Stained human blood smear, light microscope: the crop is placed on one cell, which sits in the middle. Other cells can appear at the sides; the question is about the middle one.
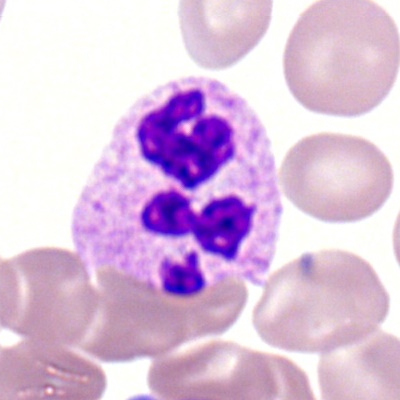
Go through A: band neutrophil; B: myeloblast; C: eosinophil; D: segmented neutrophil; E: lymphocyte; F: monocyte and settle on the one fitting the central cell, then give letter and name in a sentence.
Option D is the right one, for the cell in the middle is a segmented neutrophil.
